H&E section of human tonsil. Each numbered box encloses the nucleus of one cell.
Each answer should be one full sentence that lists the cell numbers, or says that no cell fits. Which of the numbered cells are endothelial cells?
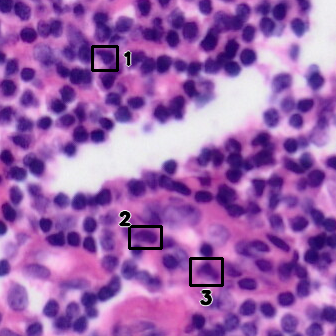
The cells marked by the numbers 2 and 3 are endothelial cells.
